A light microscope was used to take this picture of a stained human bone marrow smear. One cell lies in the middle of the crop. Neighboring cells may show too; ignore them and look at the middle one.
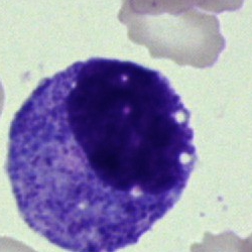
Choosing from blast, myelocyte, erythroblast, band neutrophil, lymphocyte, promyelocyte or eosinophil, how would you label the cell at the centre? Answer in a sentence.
The cell in the middle of the field of view is a promyelocyte.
